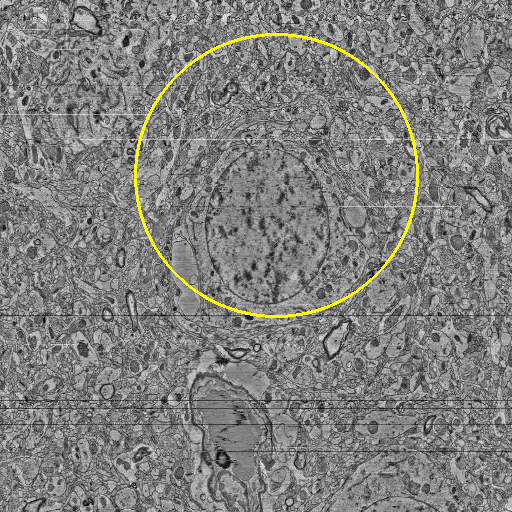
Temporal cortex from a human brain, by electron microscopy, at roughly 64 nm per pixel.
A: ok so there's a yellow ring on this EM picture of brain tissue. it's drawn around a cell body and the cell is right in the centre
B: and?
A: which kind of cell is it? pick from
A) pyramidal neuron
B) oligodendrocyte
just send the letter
A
